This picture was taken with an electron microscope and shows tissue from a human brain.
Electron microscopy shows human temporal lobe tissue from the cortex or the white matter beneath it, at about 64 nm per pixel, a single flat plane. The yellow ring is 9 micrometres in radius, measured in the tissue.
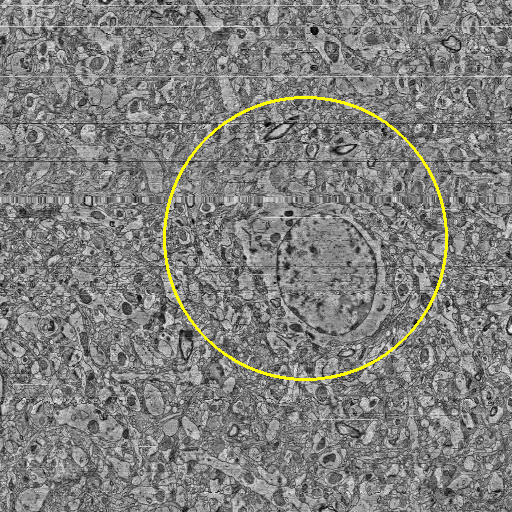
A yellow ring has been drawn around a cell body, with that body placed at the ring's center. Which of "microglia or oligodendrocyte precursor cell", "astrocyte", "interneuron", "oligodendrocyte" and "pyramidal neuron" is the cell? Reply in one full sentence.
In this picture, an astrocyte is the cell at the center of the yellow ring.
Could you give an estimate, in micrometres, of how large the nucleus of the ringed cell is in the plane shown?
The nucleus appears roughly 8 by 6 micrometres in this plane.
